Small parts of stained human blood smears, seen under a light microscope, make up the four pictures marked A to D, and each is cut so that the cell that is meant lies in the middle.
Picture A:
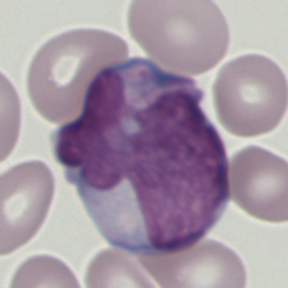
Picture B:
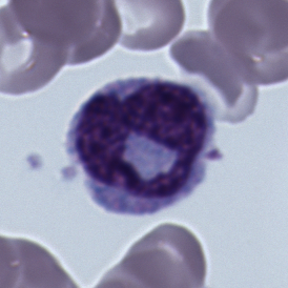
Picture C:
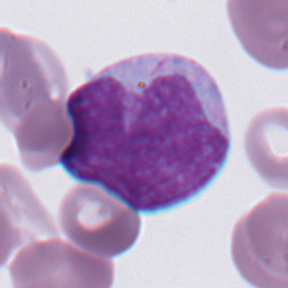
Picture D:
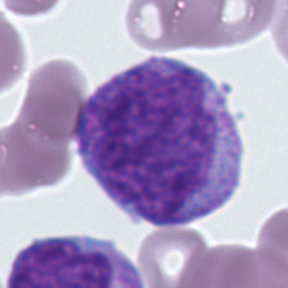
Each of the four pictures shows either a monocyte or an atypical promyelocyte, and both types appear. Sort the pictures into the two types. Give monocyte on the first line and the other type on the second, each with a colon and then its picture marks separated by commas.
monocyte: B
atypical promyelocyte: A, C, D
